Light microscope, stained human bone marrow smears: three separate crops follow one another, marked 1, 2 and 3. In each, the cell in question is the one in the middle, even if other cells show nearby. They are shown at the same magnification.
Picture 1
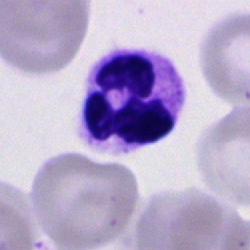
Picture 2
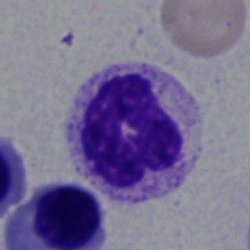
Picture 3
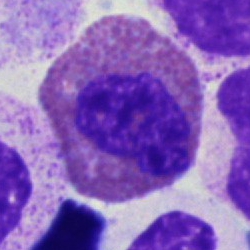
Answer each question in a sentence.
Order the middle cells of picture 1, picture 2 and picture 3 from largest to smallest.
From the largest down, the order is 3, 2, 1.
